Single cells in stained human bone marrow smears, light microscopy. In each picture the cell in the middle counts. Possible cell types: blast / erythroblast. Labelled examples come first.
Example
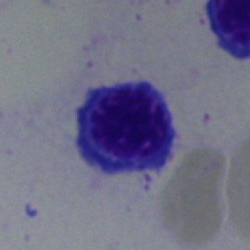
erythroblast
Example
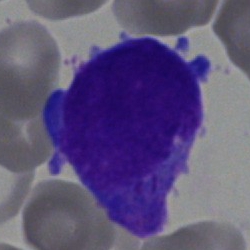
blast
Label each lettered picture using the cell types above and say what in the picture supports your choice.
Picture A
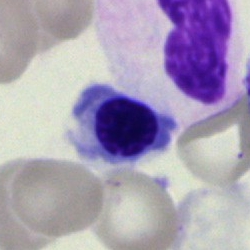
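Answer: erythroblast. The chromatin is dense and dark purple, with coarse clumping.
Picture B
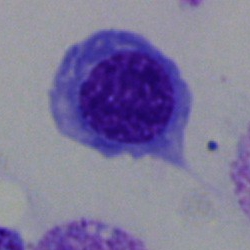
Answer: erythroblast. The chromatin is coarse and clumped, with small pale spots between darker patches.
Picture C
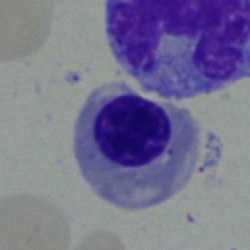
Answer: erythroblast. The chromatin is dense, dark purple and coarsely clumped.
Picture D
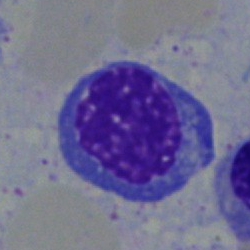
Answer: erythroblast. The dark purple chromatin is coarsely clumped with small pale gaps between the clumps.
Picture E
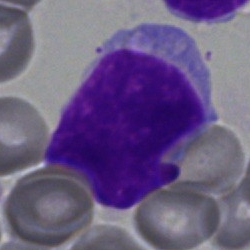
Answer: blast. The chromatin is deep purple and finely textured rather than coarsely clumped.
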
